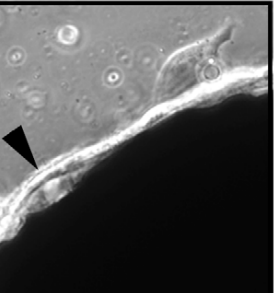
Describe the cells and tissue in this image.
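The dark mass fills the lower right of the field and has a smooth curved border. Along this border runs a bright, continuous band of elongated, flattened cells that lie tightly against the surface and follow its curve. In the pale background to the upper left lie scattered small round bodies with bright halos.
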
